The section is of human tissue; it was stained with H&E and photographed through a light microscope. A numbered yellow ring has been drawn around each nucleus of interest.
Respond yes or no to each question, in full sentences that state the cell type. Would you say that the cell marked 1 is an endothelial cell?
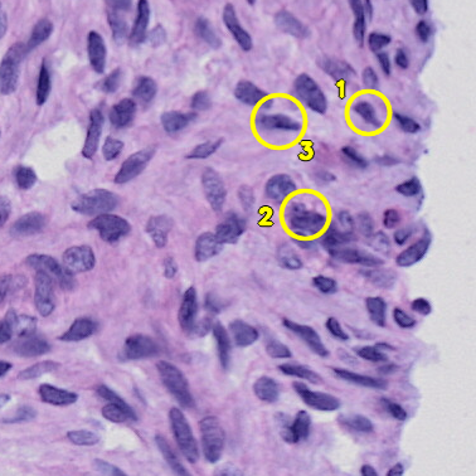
No, cell 1 is not an endothelial cell at all but a fibroblast.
